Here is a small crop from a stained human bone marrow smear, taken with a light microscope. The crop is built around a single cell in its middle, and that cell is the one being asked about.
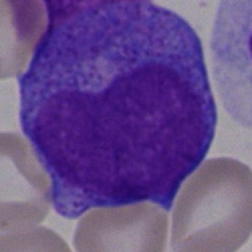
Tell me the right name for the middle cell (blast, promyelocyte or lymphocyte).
promyelocyte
